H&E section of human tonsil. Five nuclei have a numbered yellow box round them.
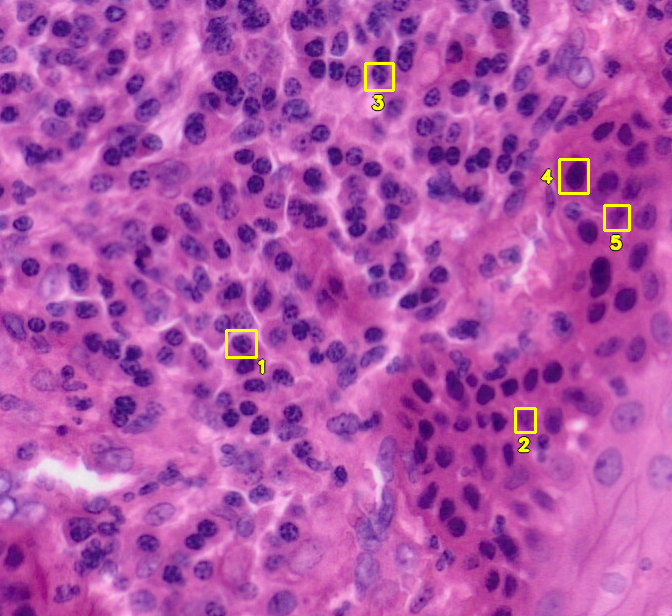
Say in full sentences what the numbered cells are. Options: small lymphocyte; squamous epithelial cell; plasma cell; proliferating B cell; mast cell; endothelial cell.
Cell 1 is a plasma cell, cell 2 is a squamous epithelial cell, cell 3 is a plasma cell, cell 4 is a squamous epithelial cell and cell 5 is a squamous epithelial cell.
